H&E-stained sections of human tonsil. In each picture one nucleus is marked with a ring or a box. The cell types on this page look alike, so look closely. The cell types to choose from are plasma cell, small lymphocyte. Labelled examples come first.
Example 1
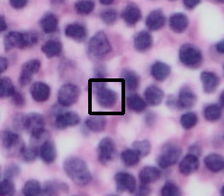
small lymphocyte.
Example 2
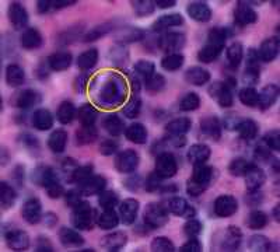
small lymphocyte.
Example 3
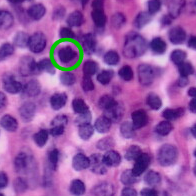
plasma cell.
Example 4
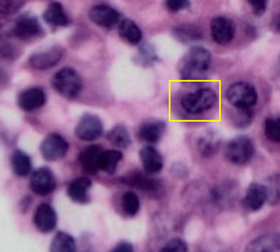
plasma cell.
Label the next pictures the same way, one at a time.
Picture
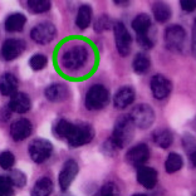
plasma cell.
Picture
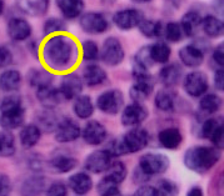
small lymphocyte.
